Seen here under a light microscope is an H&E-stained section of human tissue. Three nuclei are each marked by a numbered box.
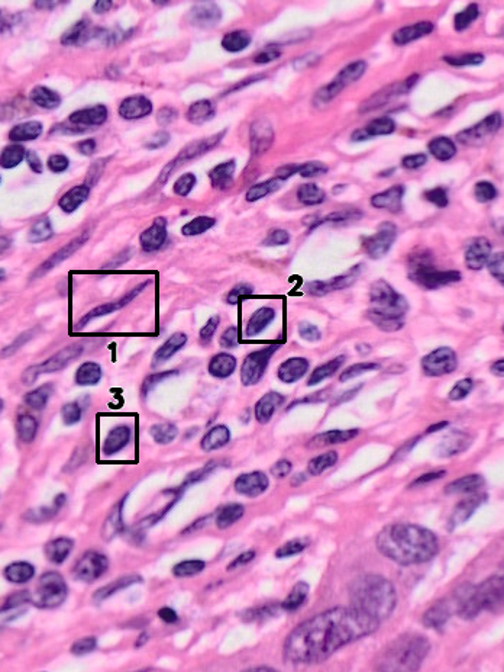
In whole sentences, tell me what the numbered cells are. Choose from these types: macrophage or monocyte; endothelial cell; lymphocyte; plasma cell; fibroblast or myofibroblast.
Cell 1 is a fibroblast or myofibroblast. Cells 2 and 3 are lymphocytes.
